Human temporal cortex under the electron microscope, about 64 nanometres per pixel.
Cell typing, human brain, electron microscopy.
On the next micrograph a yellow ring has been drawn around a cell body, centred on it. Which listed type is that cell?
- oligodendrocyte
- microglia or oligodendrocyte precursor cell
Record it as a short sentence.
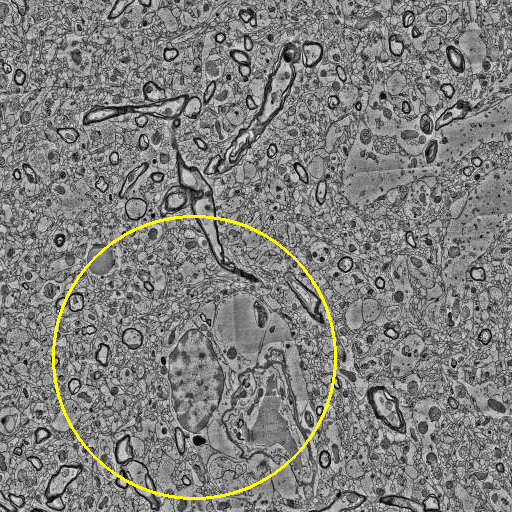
The cell body in the ring's centre belongs to a microglial cell or oligodendrocyte precursor cell.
